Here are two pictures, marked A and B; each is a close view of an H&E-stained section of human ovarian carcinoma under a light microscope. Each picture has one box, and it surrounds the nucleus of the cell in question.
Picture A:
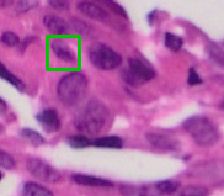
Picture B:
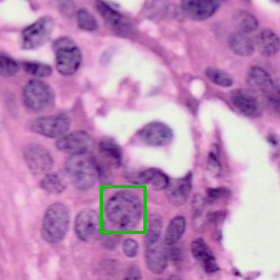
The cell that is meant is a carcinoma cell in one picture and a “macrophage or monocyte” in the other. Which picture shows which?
A: macrophage or monocyte
B: carcinoma cell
